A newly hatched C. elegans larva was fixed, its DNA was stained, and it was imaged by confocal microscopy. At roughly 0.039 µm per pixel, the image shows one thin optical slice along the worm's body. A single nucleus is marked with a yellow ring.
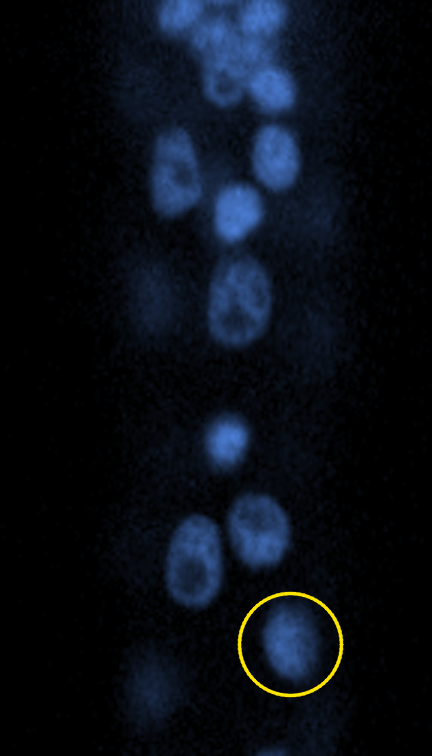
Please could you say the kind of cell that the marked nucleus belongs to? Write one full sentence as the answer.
The marked cell is a P cell (ventral epidermal blast cell).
